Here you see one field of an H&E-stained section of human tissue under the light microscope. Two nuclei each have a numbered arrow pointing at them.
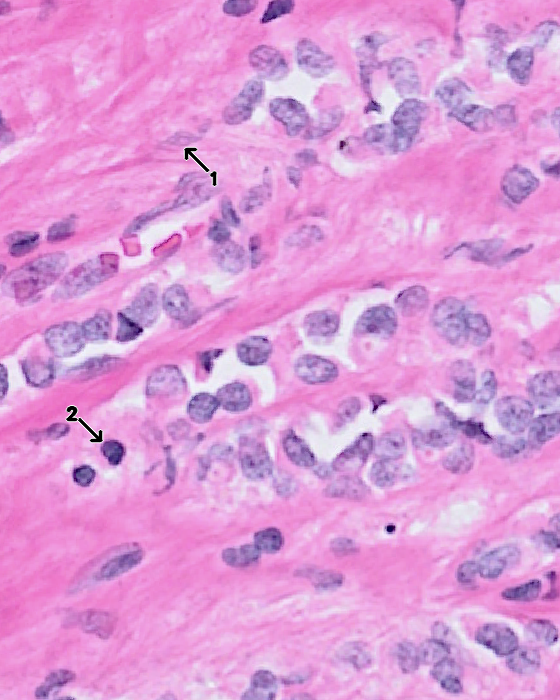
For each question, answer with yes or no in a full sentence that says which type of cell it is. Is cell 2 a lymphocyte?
Yes, cell 2 among the marked cells is a lymphocyte.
